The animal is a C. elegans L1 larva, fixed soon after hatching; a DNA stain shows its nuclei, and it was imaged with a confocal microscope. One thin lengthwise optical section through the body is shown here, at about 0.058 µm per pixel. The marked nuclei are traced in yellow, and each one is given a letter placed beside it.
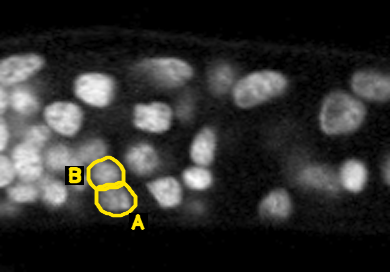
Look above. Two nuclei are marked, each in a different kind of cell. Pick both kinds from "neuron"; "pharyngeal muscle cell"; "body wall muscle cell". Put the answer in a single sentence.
One is from a body wall muscle cell, namely A, and the other, B, is from a neuron.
